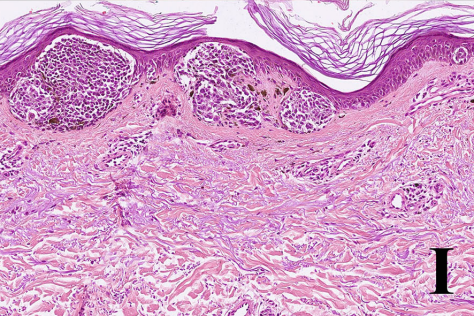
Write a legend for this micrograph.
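Skin with large, irregular nests of melanocytes at the junction between the epidermis and the dermis. The nests are made of rounded cells with pale cytoplasm and dark nuclei, vary in size and shape, and contain scattered brown pigment; the overlying epidermis is thin with a layer of loose, basket-weave keratin on top.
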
